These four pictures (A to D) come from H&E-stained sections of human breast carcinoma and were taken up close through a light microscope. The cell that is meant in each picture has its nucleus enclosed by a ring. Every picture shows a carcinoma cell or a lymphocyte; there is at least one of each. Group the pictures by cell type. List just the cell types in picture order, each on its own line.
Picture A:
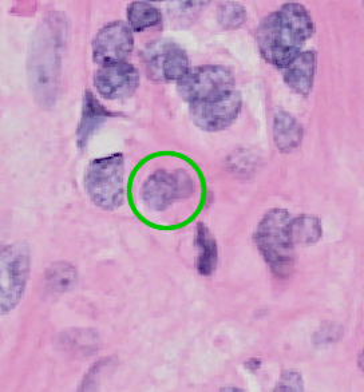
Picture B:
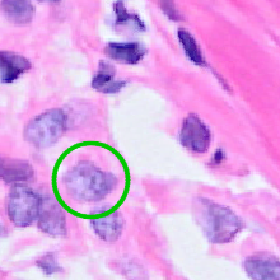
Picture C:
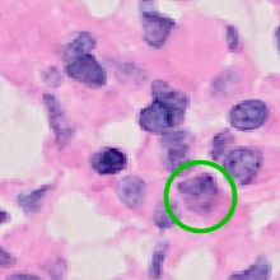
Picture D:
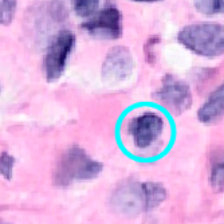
carcinoma cell
carcinoma cell
carcinoma cell
lymphocyte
